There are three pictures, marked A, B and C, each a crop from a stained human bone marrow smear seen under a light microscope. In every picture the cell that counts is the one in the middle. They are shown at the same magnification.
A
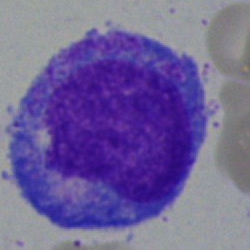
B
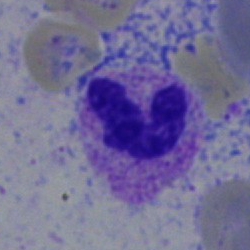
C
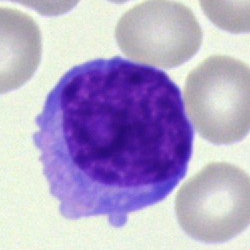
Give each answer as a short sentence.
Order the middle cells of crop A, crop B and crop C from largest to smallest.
The order is A, C, B, beginning with the largest.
